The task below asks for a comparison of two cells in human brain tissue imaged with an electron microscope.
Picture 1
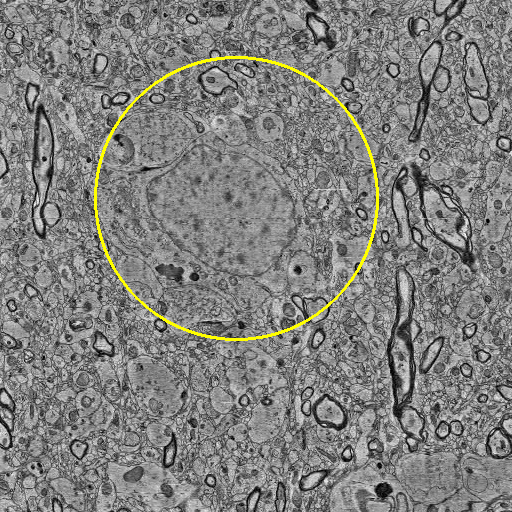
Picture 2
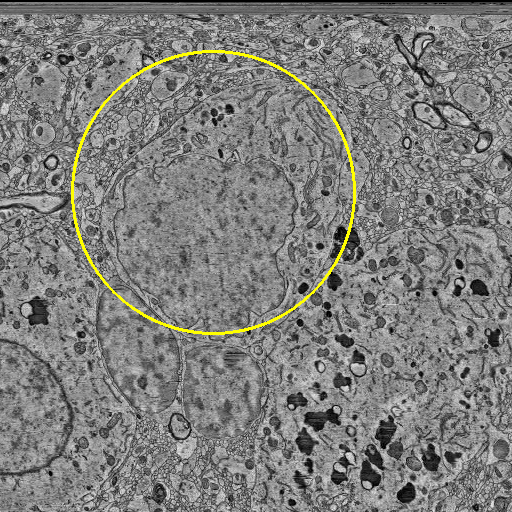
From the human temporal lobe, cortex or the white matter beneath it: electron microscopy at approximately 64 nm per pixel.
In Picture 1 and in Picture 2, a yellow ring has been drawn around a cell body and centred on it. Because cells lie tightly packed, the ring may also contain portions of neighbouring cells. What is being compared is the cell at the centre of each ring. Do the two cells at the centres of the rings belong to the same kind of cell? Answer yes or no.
yes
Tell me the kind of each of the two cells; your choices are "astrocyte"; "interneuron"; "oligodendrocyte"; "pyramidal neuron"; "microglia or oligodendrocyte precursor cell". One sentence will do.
Both the first and the second picture show an interneuron in the ring.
